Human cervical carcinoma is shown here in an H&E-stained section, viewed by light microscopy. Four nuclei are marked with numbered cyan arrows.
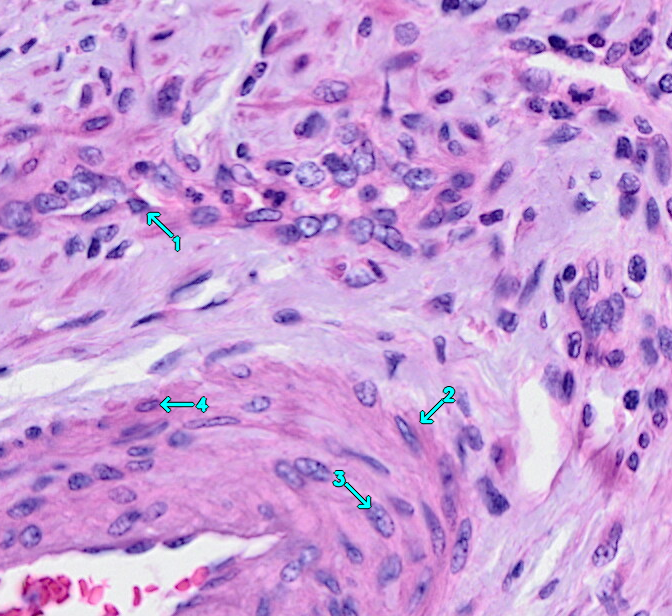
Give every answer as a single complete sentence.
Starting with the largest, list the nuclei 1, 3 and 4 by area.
From largest to smallest, the order is 3, 1, 4.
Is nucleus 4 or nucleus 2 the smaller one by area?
With nucleus 2 about 2.5 times its size, nucleus 4 is the smaller of the two.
